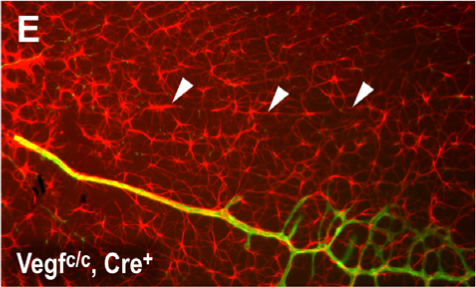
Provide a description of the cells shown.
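This flat view of retina shows a dense layer of red, star-shaped astrocytes with only a few green blood vessels. A single large vessel runs across the lower part, branching into a small capillary network at one corner, while most of the field has no capillaries. In this vessel-free area the astrocytes remain numerous, with fine processes, and many of them are lined up in roughly parallel streaks.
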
